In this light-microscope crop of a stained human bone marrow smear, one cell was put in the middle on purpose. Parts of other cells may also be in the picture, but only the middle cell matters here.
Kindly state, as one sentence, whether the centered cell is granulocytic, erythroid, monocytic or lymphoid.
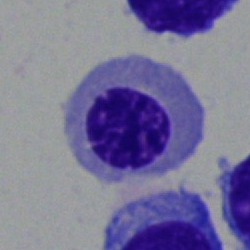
The correct lineage for the cell at the center is the erythroid one.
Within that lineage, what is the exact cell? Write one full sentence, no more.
The cell at the middle of the crop is recognized as an erythroblast.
